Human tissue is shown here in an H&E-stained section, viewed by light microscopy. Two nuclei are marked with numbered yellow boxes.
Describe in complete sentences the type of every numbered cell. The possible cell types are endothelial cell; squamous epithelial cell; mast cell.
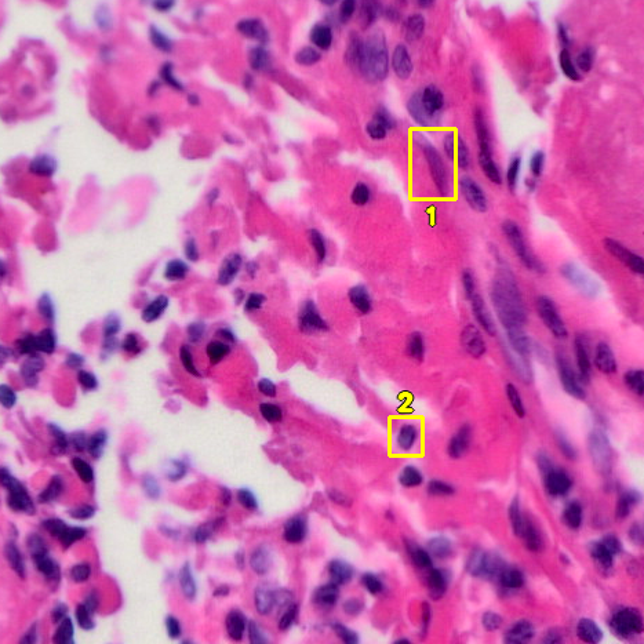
Cell 1 is an endothelial cell. Cell 2 is a mast cell.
